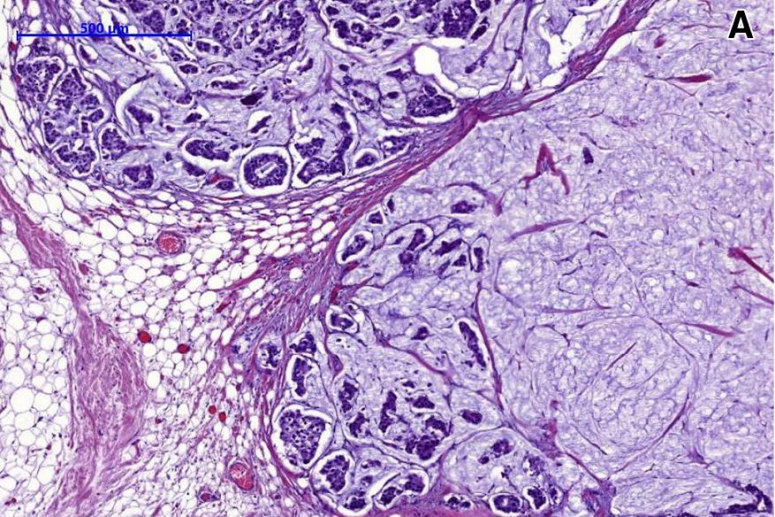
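At low power the tumour forms large lobules of pale lilac extracellular mucus divided by thin pink fibrous septa. Small clusters of dark purple cancer cells float scattered within the mucus, more densely in the upper part of the field and at the lobule edges, many rimmed by a clear space. Some lobules hold almost no cells at all. At the left edge lies fatty tissue, seen as empty round spaces with thin walls, with a few small red blood vessels between the fat and the tumour.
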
